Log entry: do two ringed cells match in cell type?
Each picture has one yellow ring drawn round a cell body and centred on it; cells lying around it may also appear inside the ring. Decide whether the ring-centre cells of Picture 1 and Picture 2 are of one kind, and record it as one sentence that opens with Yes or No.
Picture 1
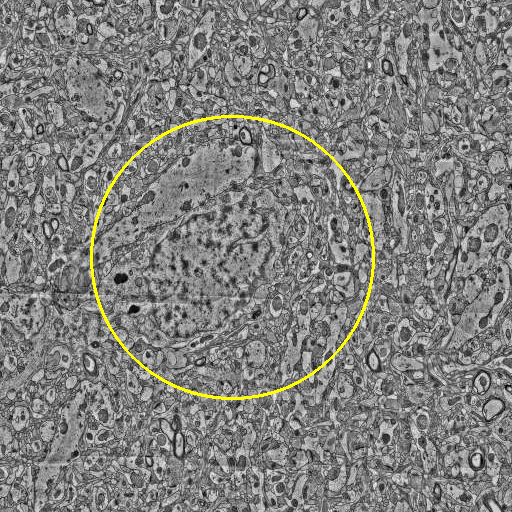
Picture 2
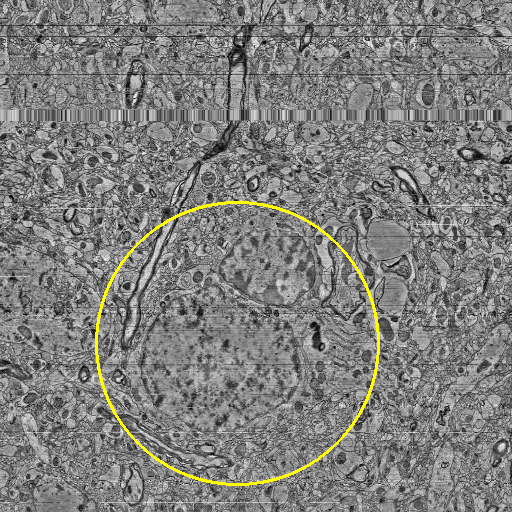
Yes, the cells at the ring centres of the two pictures belong to one kind.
